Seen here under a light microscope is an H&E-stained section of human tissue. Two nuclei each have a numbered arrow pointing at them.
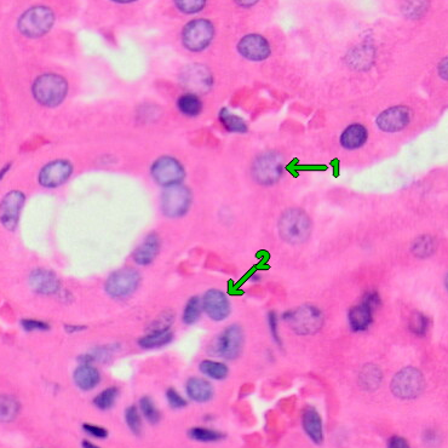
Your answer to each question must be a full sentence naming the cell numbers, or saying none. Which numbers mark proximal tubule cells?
Among the numbered cells, the one that is a proximal tubule cell is cell 1 alone.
